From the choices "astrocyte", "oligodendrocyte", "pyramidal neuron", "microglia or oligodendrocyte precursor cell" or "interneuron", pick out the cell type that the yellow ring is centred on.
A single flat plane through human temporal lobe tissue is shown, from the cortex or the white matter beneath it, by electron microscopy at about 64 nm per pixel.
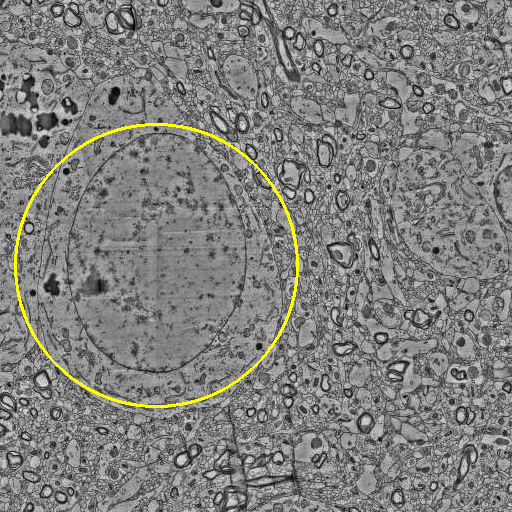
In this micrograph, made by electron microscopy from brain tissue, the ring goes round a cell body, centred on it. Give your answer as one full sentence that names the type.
The yellow ring is centred on a pyramidal neuron, whose cell body it encircles in the picture.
